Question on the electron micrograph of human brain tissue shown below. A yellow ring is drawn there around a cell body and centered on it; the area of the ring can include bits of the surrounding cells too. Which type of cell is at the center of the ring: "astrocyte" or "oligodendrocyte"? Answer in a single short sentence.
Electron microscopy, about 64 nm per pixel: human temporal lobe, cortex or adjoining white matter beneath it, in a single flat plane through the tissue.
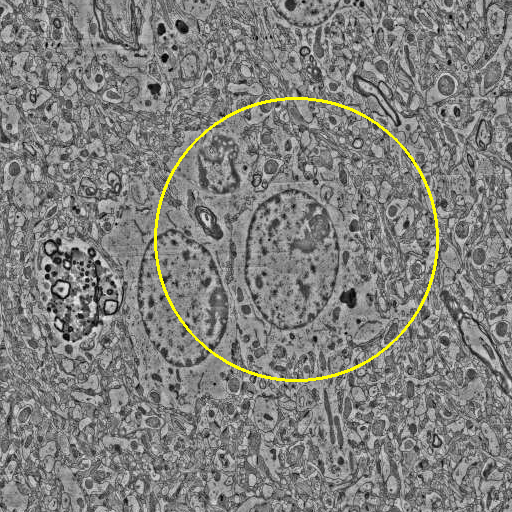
The ring is centered on an astrocyte.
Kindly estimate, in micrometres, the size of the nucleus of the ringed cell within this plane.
The nucleus of the ringed cell is approximately 9 by 6 micrometres in this plane.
